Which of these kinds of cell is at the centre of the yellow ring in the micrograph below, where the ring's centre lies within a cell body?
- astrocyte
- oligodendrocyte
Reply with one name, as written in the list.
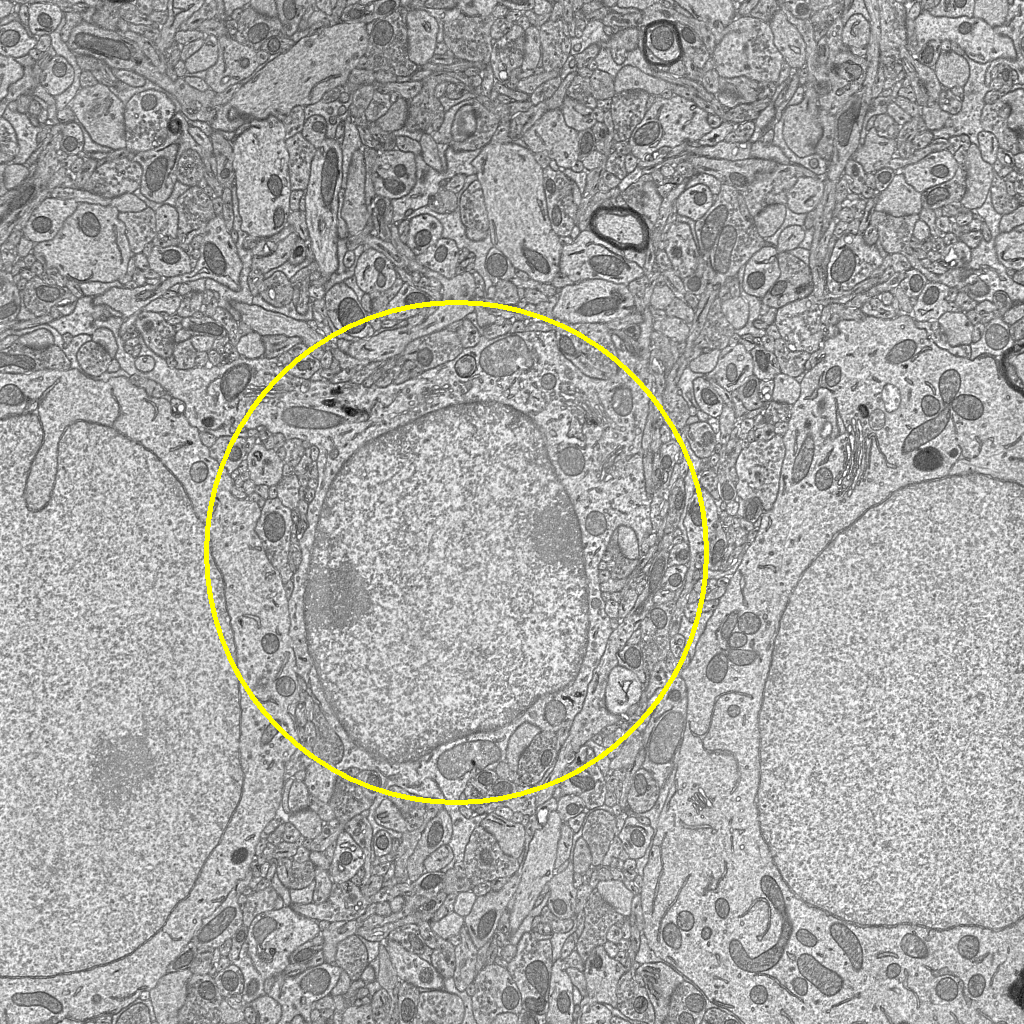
astrocyte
